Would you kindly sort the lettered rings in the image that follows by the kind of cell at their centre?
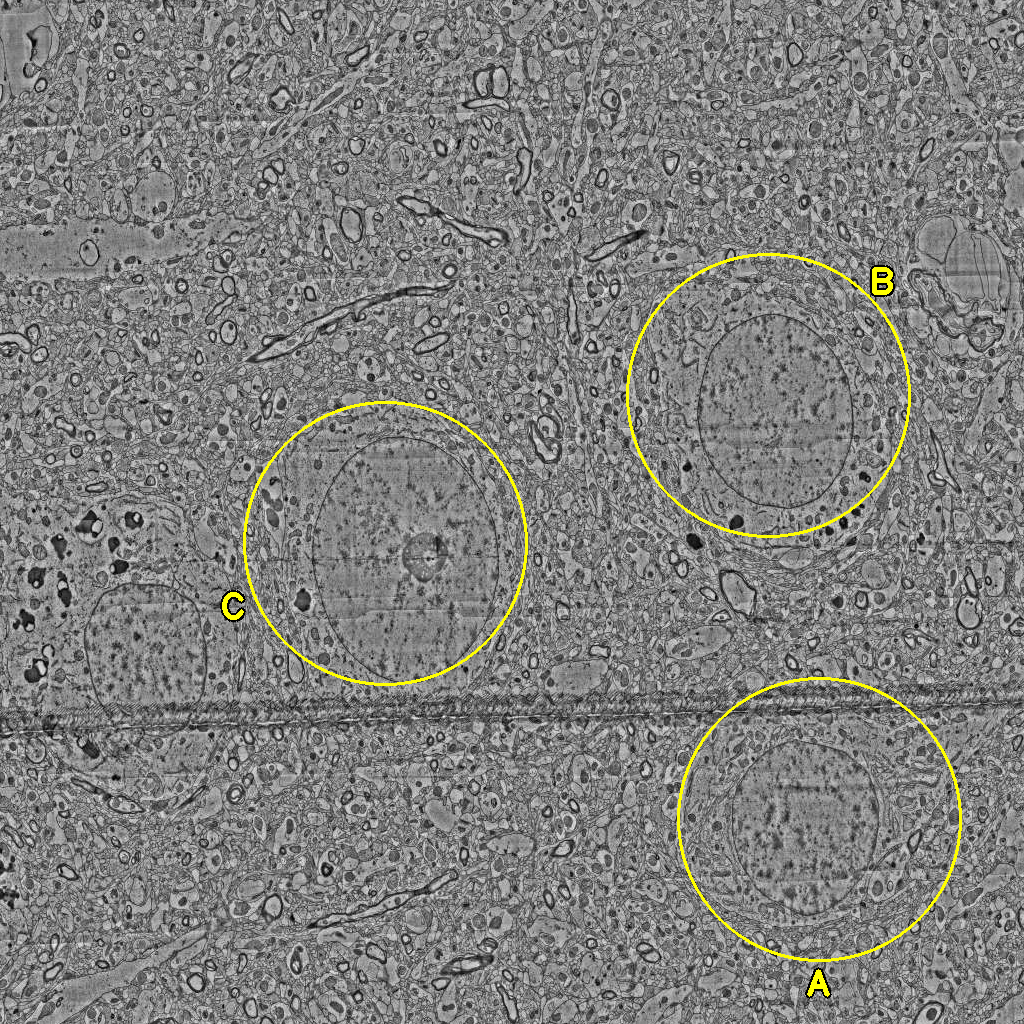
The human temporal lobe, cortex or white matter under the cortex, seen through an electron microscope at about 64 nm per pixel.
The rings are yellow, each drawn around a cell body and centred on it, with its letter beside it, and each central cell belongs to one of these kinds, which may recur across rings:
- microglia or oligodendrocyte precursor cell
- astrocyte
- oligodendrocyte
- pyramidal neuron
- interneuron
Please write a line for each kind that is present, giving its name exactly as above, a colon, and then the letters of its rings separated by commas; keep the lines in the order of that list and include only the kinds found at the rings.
pyramidal neuron: B, C
interneuron: A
